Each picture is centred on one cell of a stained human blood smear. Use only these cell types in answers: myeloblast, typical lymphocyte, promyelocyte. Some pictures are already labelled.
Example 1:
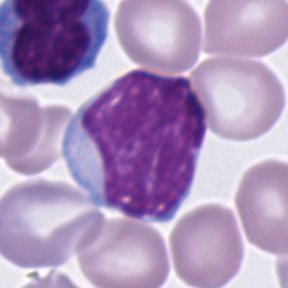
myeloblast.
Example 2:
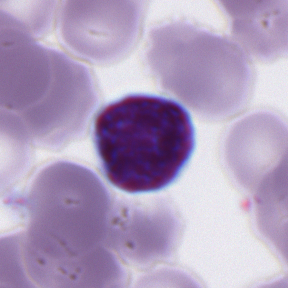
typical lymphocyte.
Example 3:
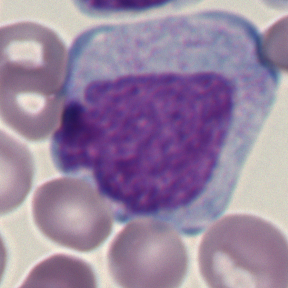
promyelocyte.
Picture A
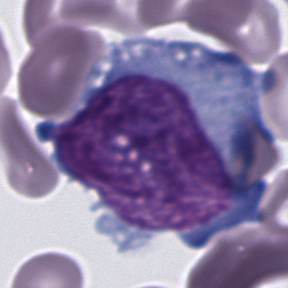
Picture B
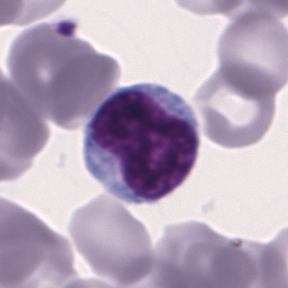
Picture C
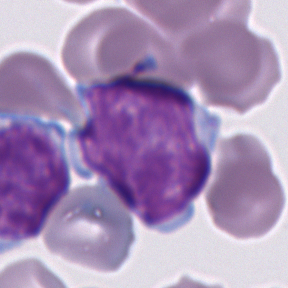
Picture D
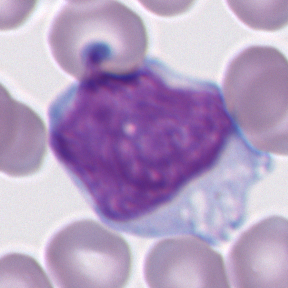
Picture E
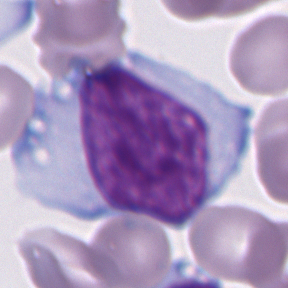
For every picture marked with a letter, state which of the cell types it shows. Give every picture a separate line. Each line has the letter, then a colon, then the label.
A: myeloblast.
B: typical lymphocyte.
C: myeloblast.
D: myeloblast.
E: myeloblast.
